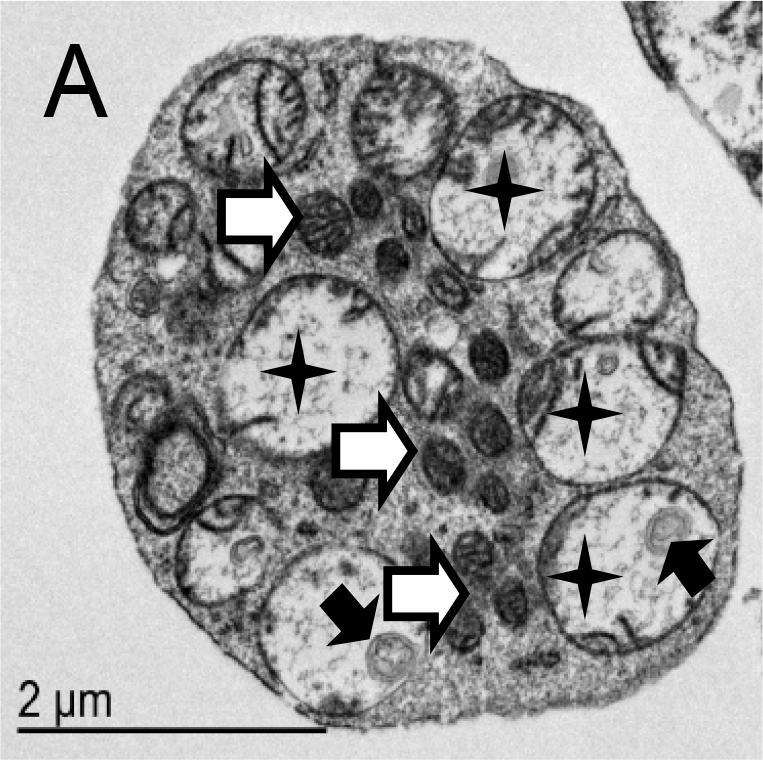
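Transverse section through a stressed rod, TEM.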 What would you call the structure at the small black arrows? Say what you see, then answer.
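Small rounded whorls of concentric membrane inside pale swollen organelles.
Conclusion: membranous inclusions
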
